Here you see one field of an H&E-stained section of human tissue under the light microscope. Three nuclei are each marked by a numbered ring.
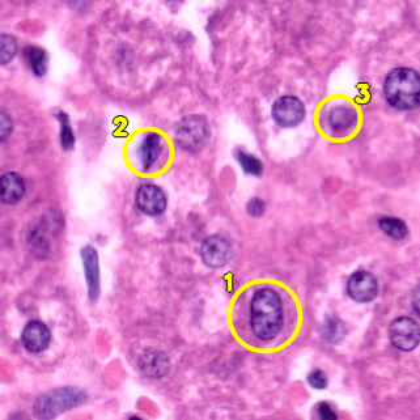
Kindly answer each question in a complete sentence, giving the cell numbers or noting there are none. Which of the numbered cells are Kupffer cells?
Cell 3 is a Kupffer cell; every other numbered cell is something else.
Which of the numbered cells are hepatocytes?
It is cell 1, and no other numbered cell, that is a hepatocyte.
